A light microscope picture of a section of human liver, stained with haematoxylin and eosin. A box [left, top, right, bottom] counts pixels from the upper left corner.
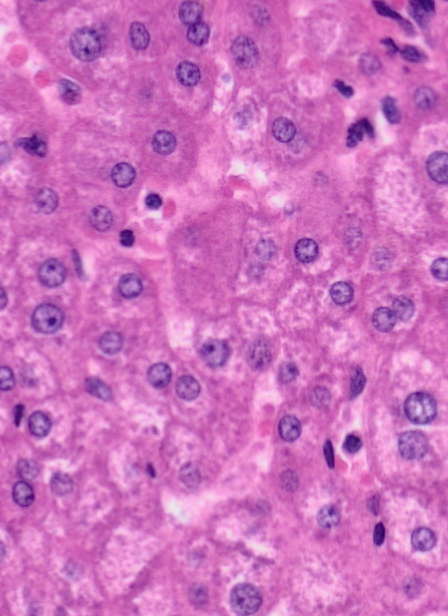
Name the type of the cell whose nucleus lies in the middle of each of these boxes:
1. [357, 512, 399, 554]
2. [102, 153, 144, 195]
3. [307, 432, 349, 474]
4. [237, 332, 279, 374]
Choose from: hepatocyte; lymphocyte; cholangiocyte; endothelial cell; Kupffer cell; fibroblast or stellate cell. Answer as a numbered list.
1. fibroblast or stellate cell
2. hepatocyte
3. fibroblast or stellate cell
4. hepatocyte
